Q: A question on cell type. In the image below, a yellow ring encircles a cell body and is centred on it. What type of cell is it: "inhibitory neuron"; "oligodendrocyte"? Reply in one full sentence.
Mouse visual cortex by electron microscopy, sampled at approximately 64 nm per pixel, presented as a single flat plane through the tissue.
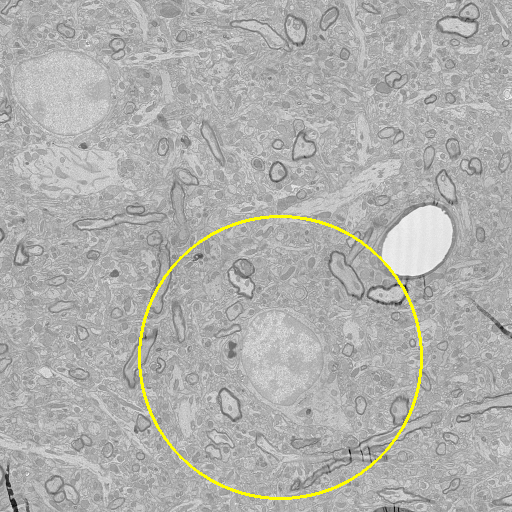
It is an oligodendrocyte whose cell body sits at the centre of the yellow ring in the image.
